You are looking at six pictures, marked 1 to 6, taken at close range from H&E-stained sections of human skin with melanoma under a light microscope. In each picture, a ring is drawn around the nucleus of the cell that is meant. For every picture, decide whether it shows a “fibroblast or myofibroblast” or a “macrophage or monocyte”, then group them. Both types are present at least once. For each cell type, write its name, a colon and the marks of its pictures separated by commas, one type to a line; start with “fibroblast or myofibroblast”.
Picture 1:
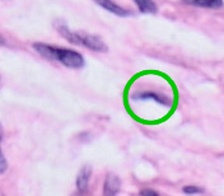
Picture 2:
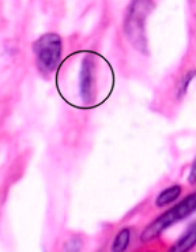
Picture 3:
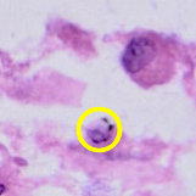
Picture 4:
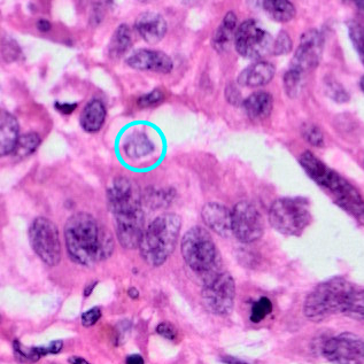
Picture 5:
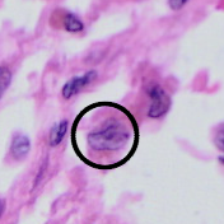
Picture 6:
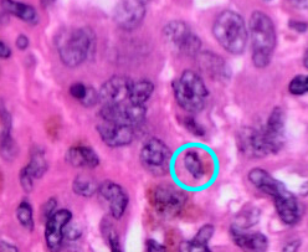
fibroblast or myofibroblast: 1, 2
macrophage or monocyte: 3, 4, 5, 6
